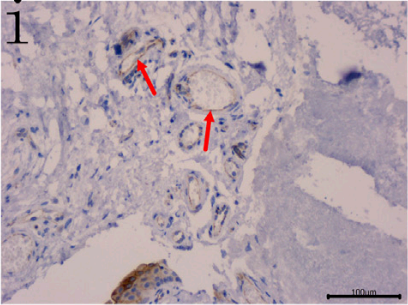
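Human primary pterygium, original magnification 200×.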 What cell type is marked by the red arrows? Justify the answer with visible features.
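The arrows point to flat cells lining small vessel lumina in the stroma. Brown stain lies in the thin lining cells around the lumen.
Hence: vascular endothelial cells.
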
